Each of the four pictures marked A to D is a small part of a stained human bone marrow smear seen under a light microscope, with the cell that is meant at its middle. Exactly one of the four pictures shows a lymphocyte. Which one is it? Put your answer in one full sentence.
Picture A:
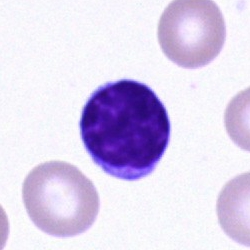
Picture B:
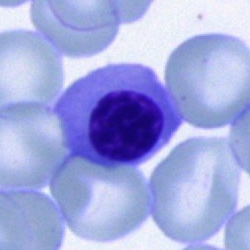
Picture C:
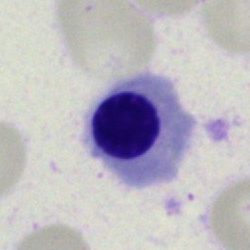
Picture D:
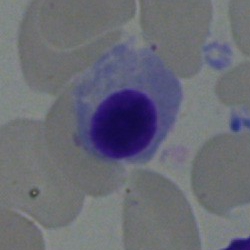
Picture A is the one that shows the lymphocyte.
